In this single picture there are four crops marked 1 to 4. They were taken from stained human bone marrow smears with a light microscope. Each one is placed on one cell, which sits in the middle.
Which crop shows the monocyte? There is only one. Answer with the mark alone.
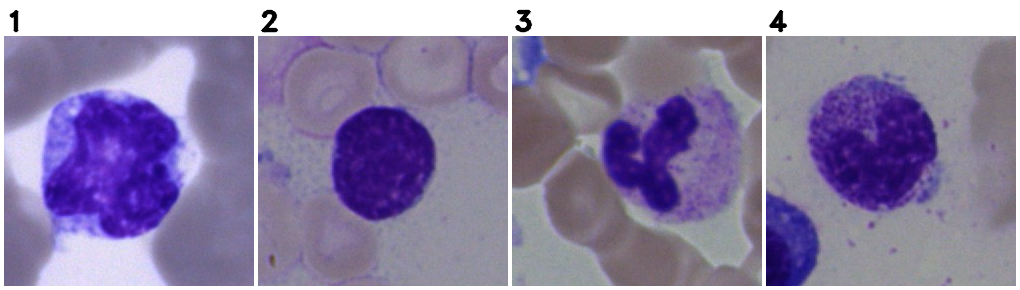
1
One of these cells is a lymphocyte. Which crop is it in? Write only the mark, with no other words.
2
